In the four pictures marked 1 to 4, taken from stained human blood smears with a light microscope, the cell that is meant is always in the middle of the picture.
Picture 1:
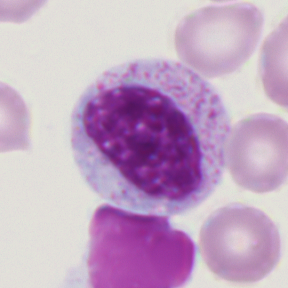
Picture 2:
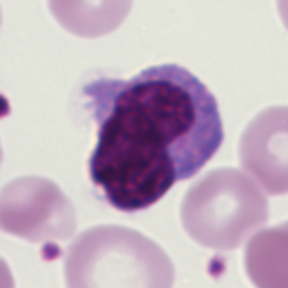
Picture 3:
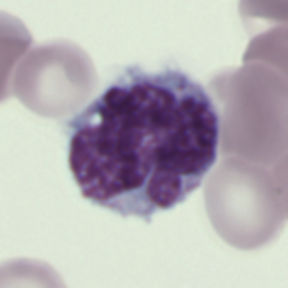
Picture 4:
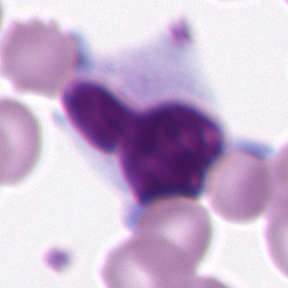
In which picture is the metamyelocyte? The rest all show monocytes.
1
